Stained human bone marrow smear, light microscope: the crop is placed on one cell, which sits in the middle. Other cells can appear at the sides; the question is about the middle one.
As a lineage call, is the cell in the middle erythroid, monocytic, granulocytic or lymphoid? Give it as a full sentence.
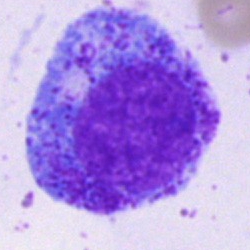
Lineage assignment for the central cell is granulocytic.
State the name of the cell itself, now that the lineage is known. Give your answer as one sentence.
The central element of this crop is a cell, namely a promyelocyte.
